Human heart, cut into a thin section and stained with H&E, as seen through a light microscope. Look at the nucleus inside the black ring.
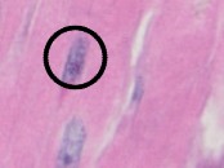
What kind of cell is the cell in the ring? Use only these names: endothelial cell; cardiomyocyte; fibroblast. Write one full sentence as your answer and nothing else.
Histopathologically, the cell in the ring is an endothelial cell.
